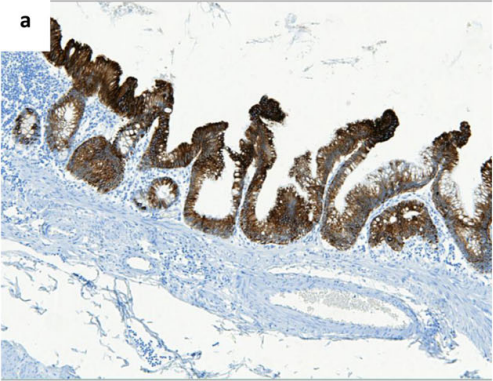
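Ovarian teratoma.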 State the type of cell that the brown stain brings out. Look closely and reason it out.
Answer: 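Brown stain fills the columnar cells lining the folded surface and crypts. The underlying stroma and muscle layer remain blue.
Epithelial cells.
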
